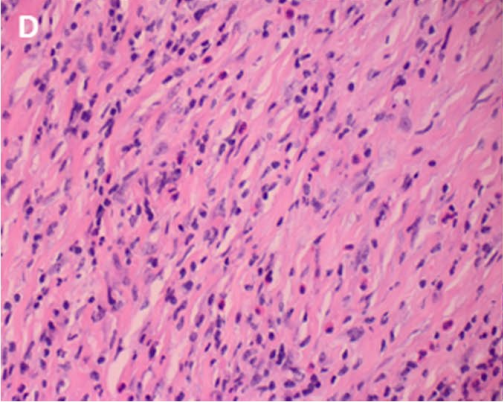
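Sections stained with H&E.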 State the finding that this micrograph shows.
eosinophilic infiltration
